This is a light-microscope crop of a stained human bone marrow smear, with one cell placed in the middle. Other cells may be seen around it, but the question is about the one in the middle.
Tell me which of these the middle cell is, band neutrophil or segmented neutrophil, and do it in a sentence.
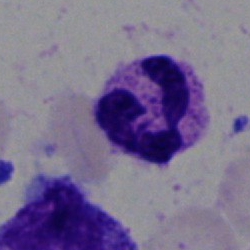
The cell in the middle of this crop is a segmented neutrophil.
